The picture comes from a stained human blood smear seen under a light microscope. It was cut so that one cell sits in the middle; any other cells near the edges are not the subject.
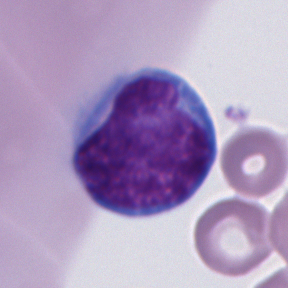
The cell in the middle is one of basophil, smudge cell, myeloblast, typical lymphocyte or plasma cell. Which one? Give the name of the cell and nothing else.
myeloblast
